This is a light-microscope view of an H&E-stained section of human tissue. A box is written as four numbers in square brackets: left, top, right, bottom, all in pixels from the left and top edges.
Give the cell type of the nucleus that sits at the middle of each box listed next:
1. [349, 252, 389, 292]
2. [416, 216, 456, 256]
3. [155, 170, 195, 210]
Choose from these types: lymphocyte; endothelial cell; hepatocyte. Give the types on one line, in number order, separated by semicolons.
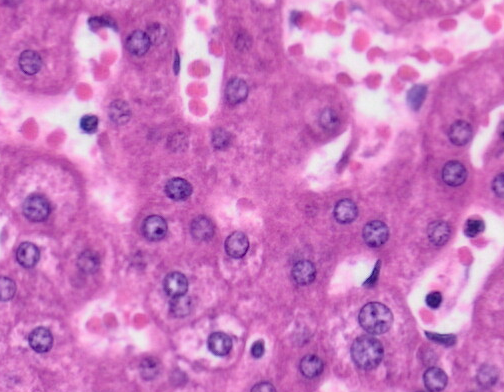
endothelial cell; hepatocyte; hepatocyte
